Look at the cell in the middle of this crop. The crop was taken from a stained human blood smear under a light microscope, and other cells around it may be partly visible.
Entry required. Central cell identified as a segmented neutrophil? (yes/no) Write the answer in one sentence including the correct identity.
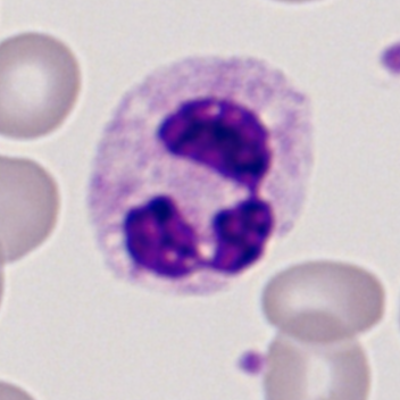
Yes, the cell that occupies the centre is a segmented neutrophil.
